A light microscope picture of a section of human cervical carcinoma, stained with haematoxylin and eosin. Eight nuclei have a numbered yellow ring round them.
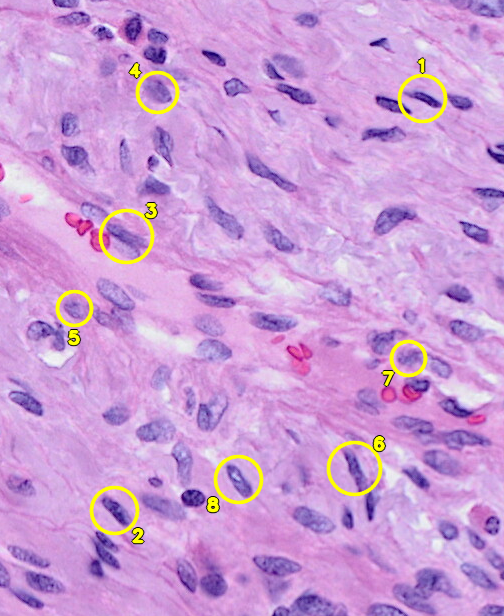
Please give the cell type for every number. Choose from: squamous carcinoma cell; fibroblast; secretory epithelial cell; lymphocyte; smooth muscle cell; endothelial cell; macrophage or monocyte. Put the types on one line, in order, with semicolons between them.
fibroblast; fibroblast; endothelial cell; fibroblast; smooth muscle cell; fibroblast; endothelial cell; fibroblast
